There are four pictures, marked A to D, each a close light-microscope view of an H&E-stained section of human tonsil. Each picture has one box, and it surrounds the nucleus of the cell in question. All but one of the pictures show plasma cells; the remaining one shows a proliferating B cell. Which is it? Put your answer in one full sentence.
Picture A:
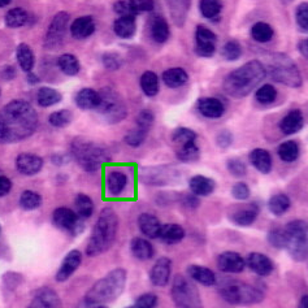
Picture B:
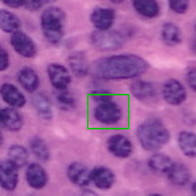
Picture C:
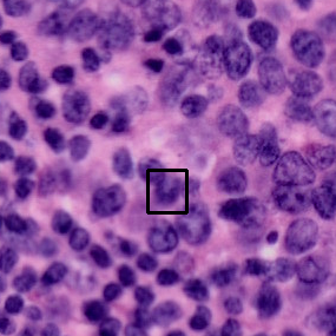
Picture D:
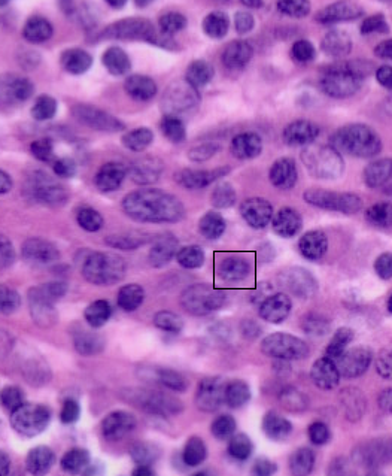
The proliferating B cell is the one in picture C.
